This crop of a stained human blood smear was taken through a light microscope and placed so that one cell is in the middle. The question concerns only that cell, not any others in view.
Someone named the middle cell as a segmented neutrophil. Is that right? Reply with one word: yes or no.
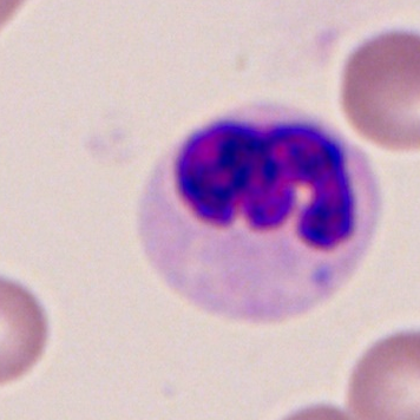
yes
